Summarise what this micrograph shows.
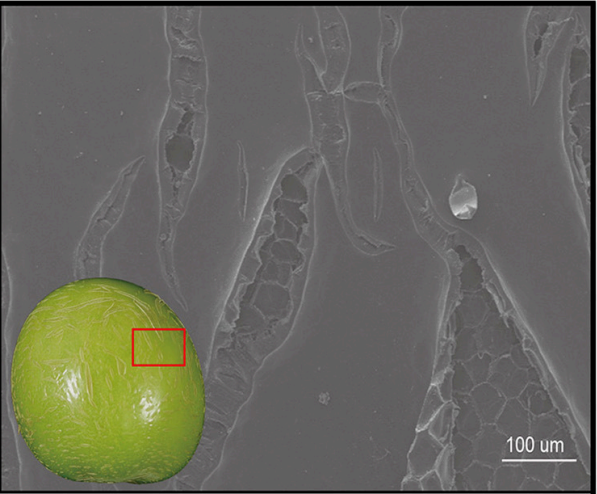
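Surface view of fruit cuticle that is smooth overall but crossed by long, narrow, spindle-shaped fissures. Within the fissures a network of polygonal cells is exposed below the surface layer, with torn edges along the margins.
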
